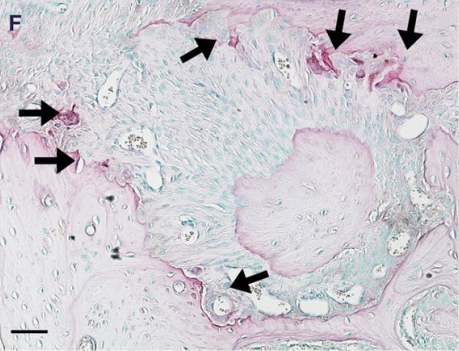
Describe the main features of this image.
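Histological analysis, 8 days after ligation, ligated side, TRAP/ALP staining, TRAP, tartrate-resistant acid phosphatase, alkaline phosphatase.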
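The section shows alveolar bone with the adjacent soft tissue, with large osteoclasts stained red-purple lying on the bone surfaces. The bone is pale pink and contains scattered small lacunae with green-blue stained nuclei of enclosed cells. The red osteoclasts sit at the edges of the bone, several of them in shallow hollows along its surface. Between the bone pieces lies loose soft tissue with many small blue-green nuclei and small vessels containing red blood cells.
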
